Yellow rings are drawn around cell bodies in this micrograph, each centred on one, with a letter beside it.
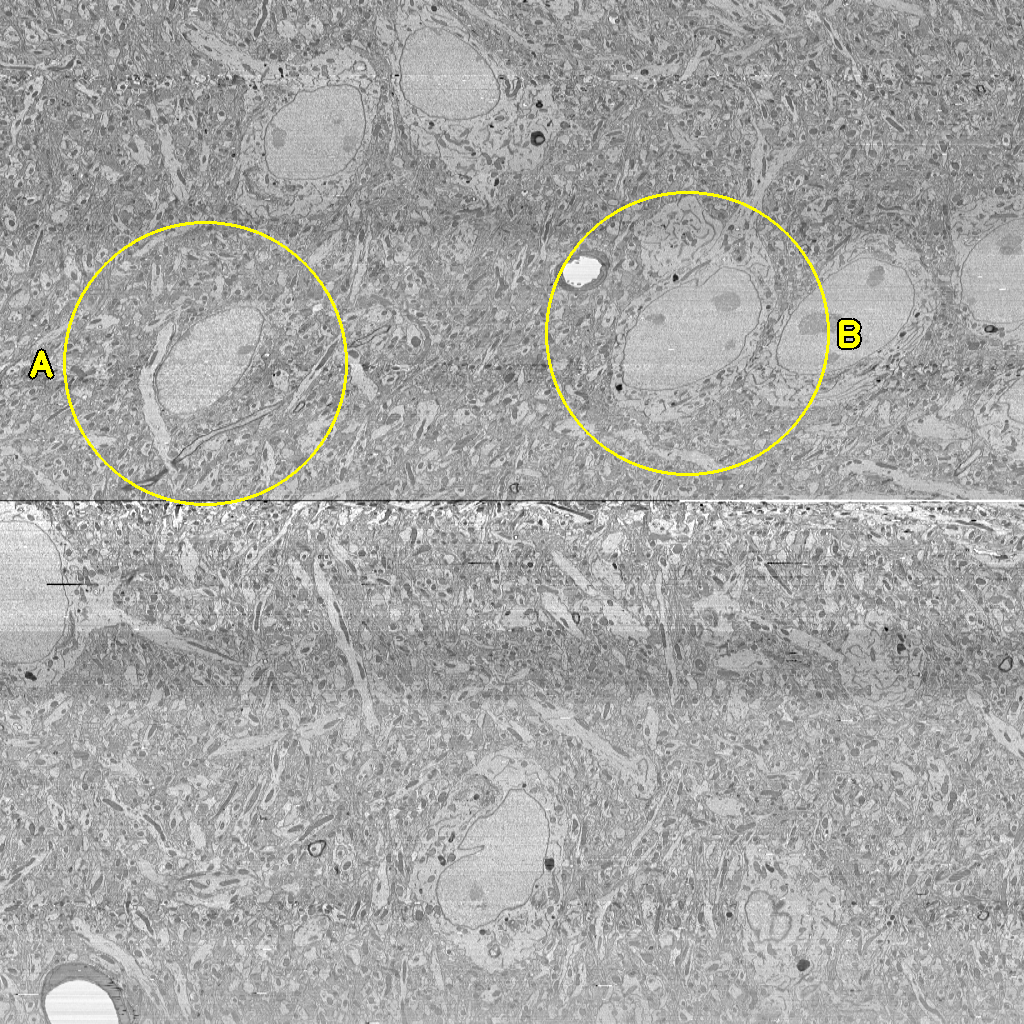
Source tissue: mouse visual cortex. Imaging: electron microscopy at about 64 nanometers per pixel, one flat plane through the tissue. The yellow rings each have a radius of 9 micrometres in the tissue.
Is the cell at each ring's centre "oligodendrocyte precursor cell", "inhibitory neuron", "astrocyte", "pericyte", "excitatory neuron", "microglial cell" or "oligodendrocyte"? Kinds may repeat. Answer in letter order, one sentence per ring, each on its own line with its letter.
In ring A, the cell at the centre is an astrocyte.
In ring B, the cell at the centre is an excitatory neuron.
